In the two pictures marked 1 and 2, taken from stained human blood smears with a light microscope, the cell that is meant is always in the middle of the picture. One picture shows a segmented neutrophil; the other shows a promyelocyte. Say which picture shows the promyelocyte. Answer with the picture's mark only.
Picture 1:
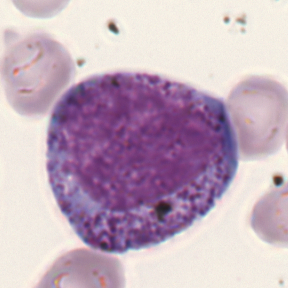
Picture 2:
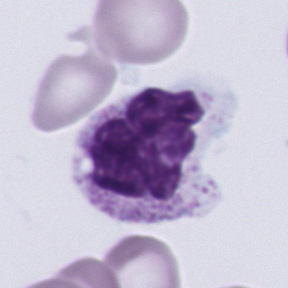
1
